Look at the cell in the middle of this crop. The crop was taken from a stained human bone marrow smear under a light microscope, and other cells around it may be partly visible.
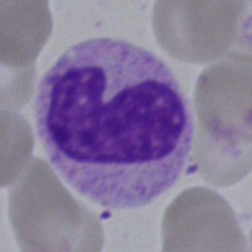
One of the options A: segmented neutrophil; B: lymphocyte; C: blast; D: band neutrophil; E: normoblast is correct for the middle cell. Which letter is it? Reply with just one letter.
D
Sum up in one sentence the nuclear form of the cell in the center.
The nucleus amounts to one compact mass with a round, oval or kidney-shaped outline.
